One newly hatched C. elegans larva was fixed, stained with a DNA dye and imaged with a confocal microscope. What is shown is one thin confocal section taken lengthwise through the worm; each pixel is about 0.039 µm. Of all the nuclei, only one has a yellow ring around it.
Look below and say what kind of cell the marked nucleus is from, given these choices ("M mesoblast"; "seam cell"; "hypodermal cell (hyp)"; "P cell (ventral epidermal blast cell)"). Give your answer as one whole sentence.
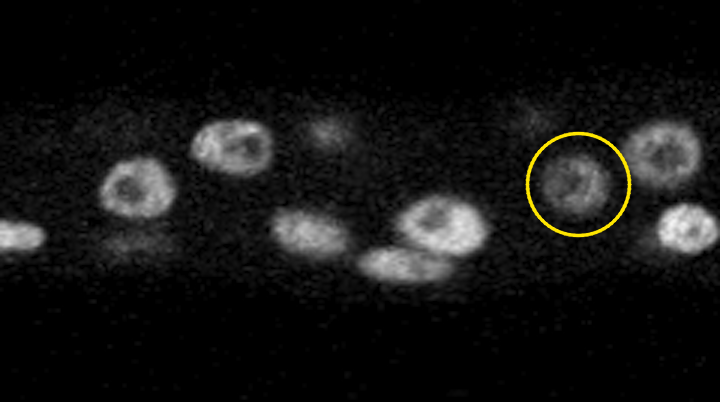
The marked nucleus is that of an M mesoblast.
